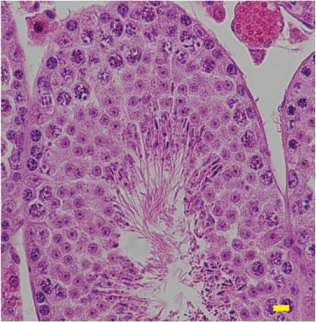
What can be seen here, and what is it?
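This is a cross-section of a seminiferous tubule of the testis, filled with germ cells at successive stages arranged in layers from the outer wall toward the central lumen. Near the base lie cells with darker nuclei, while further inward are many larger round spermatocytes with round purple nuclei and pale pink cytoplasm. Toward the center the layers give way to elongated spermatids whose long pink tails gather into a fan-shaped bundle reaching into the lumen.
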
